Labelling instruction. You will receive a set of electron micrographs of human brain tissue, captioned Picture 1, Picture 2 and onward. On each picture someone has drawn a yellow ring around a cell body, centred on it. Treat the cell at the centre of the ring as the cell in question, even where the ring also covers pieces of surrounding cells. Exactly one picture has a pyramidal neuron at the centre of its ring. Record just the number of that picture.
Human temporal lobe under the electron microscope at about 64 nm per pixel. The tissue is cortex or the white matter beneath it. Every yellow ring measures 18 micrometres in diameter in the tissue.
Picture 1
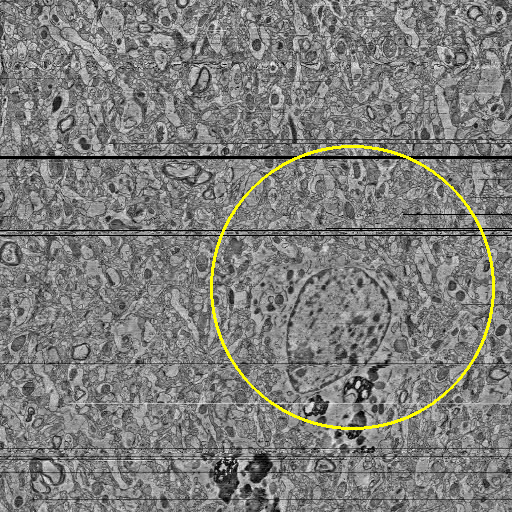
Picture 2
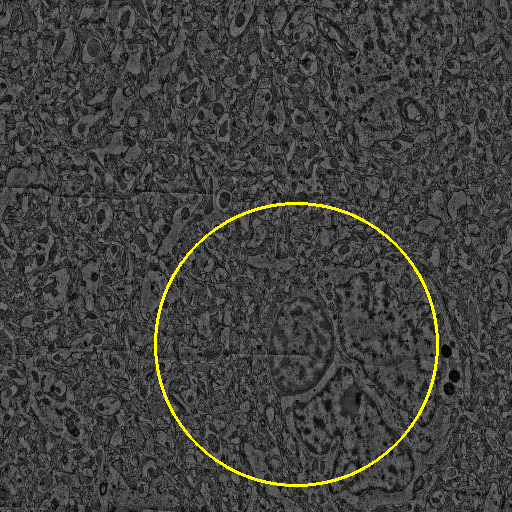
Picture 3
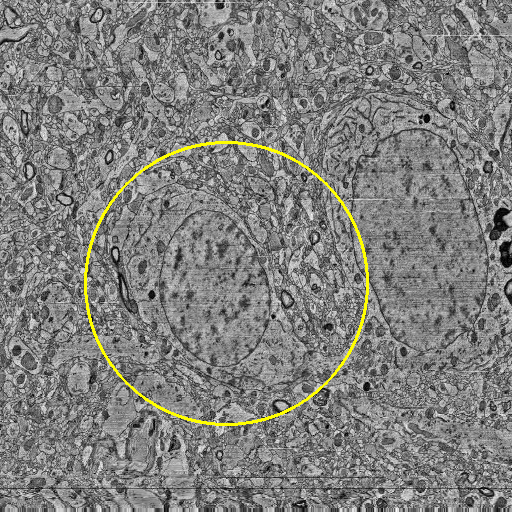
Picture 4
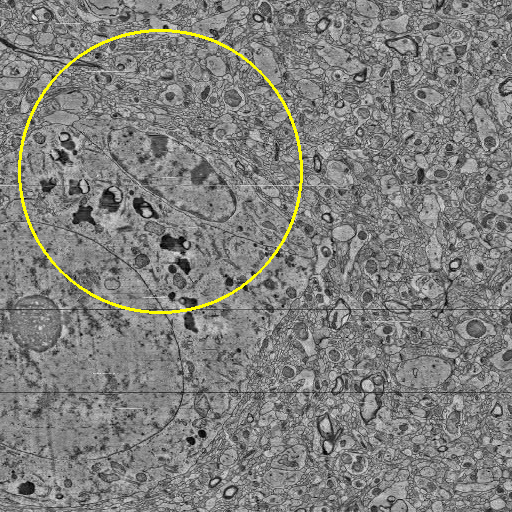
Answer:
3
